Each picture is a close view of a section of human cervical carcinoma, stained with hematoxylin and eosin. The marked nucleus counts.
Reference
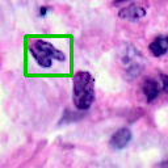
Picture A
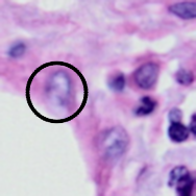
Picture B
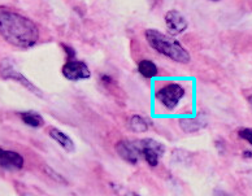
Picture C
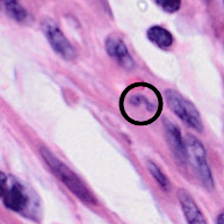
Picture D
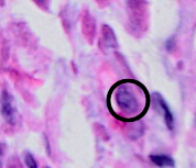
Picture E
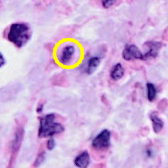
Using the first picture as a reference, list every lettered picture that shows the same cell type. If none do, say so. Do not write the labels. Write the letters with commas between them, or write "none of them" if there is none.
B, E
